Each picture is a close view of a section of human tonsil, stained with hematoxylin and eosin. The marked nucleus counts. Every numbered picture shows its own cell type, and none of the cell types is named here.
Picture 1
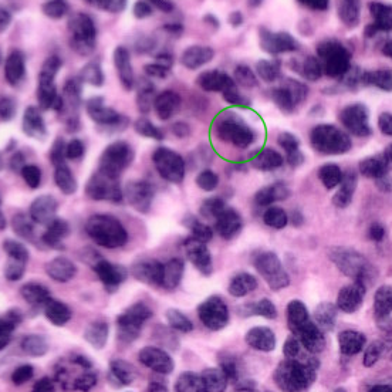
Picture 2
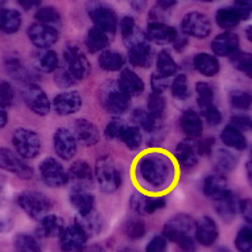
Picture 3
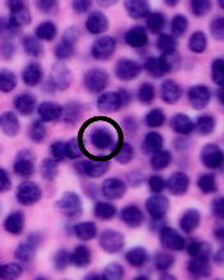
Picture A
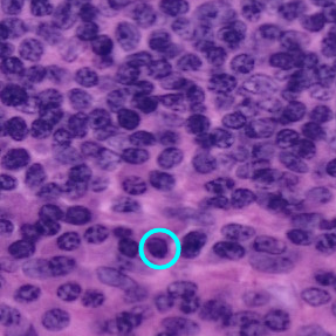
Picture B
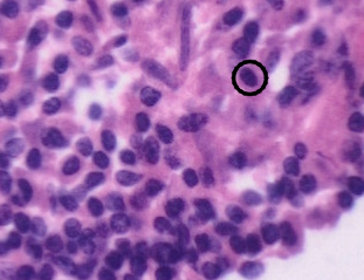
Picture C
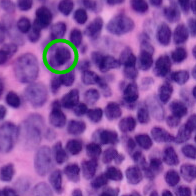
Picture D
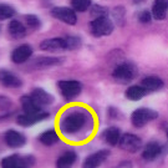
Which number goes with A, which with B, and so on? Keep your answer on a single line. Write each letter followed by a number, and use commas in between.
A 2, B 2, C 3, D 2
